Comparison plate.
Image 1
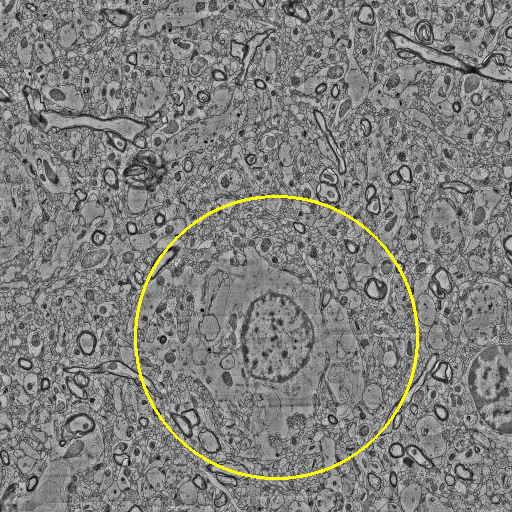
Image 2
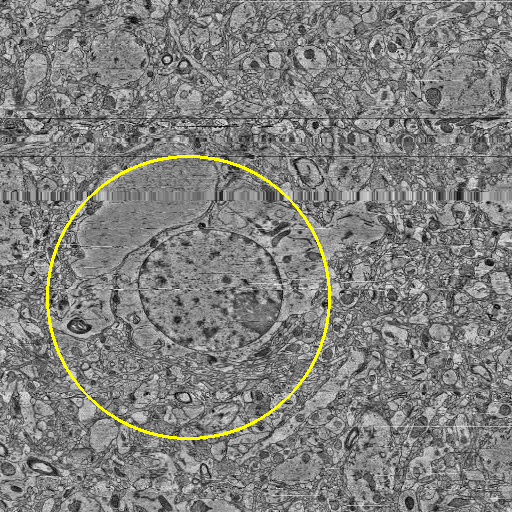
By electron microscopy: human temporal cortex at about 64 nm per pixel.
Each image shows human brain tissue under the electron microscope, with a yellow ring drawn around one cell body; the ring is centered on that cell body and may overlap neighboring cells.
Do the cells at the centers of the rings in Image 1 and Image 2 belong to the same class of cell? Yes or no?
yes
